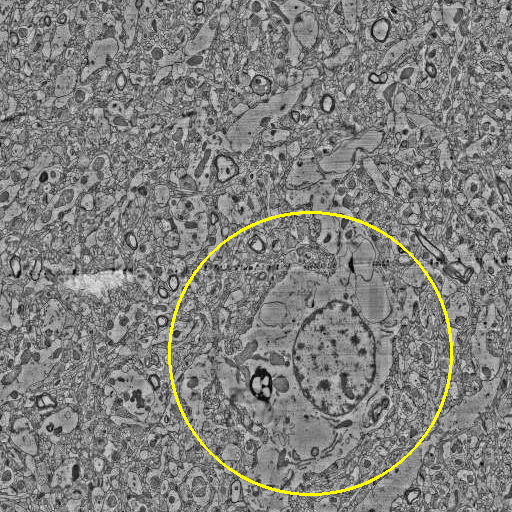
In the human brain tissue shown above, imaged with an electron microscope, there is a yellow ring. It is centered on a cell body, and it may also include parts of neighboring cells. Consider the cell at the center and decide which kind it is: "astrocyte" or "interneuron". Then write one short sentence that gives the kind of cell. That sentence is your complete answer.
This centered cell body is that of an astrocyte.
